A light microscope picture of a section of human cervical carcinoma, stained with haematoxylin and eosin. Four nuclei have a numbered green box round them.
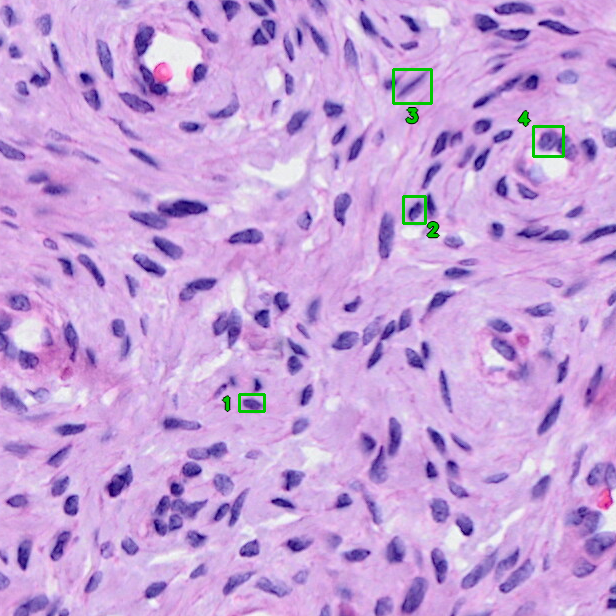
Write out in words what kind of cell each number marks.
Cells 1, 2 and 3 are fibroblasts. Cell 4 is an endothelial cell.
